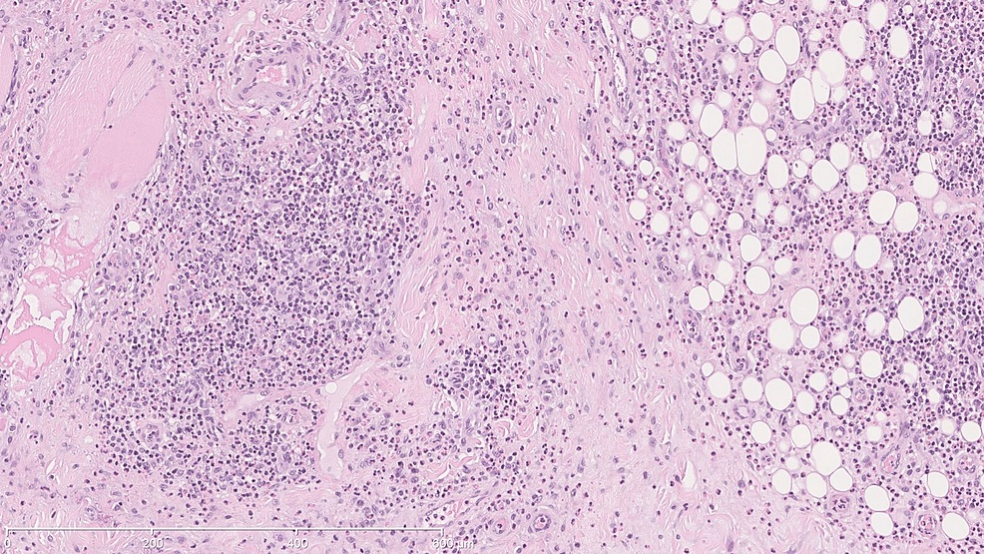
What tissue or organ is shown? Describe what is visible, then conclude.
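Many round, empty, clear vacuoles of varying size fill the right part of the panel. On this evidence: adipose tissue.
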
